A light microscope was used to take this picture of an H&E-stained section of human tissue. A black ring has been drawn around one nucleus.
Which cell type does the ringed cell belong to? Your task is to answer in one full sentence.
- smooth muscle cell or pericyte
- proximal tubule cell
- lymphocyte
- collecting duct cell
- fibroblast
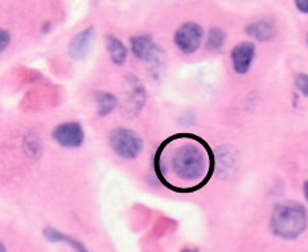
So far as cell type goes, the ringed cell is a collecting duct cell.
